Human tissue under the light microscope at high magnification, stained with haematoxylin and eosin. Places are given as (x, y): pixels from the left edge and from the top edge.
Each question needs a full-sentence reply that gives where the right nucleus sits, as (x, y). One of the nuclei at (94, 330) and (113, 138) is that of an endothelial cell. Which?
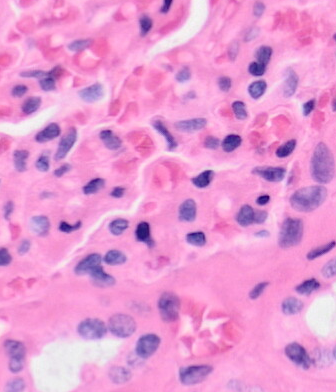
Of the two candidate nuclei, the one at (113, 138) is that of an endothelial cell.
